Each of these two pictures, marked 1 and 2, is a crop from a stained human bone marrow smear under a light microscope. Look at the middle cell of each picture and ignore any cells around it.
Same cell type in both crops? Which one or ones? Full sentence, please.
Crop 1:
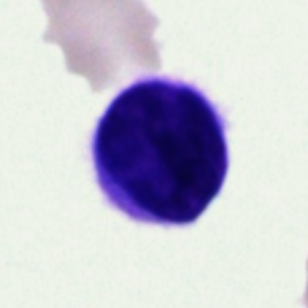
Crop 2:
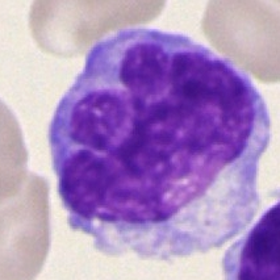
No, crop 1 gives us a lymphocyte and crop 2 gives us a monocyte.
